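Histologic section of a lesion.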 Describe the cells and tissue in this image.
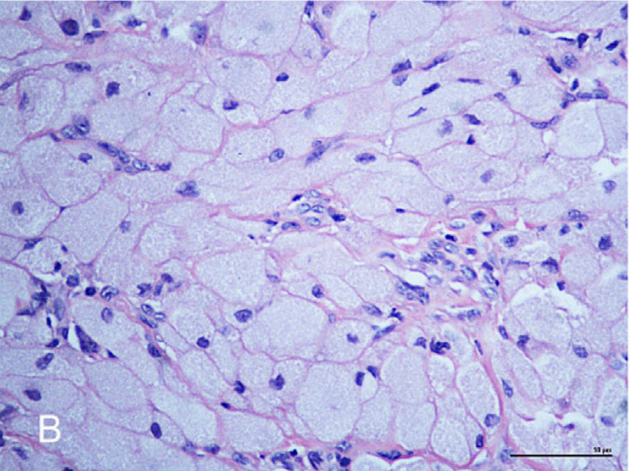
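Large polygonal cells are packed in sheets, separated by thin pink fibrous septa. Their abundant cytoplasm is pale pink and finely granular throughout. Each cell has a small, round, dark blue nucleus, often set off-centre. Between the large cells run narrow strands with smaller, elongated nuclei and small vessels.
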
